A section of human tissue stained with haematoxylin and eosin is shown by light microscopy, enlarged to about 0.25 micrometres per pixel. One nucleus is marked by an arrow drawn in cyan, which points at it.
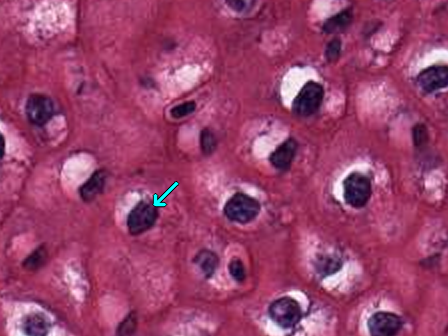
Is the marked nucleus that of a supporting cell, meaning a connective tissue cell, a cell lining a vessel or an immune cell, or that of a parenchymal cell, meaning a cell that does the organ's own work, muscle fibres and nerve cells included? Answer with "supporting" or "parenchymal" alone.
parenchymal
